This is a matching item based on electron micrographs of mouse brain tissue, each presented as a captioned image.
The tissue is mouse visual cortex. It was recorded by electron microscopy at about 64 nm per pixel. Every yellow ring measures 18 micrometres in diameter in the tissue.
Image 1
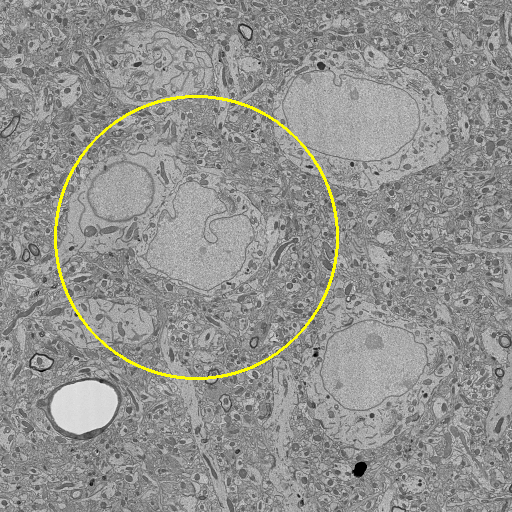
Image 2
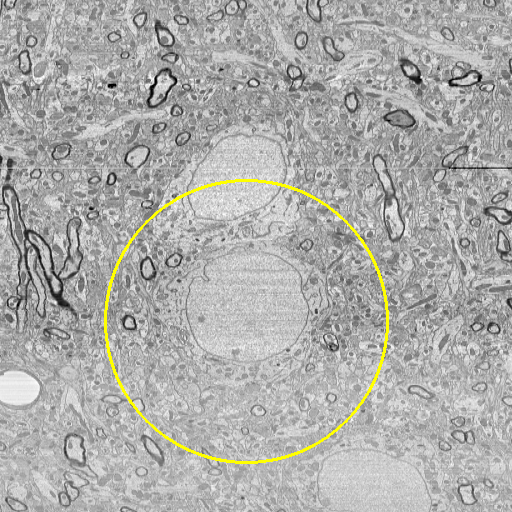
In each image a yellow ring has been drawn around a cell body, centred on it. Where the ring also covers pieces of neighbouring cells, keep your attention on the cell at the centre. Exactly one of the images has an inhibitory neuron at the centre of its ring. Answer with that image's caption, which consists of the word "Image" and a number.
Image 1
